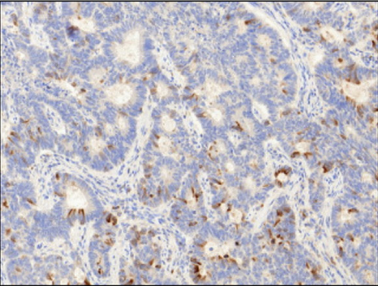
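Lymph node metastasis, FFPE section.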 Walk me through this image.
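The nuclei are blue, oval to elongated and closely packed. Brown stain is present in a portion of the tumor cells, mostly as small patches near the lumina. Fine bands of pale stroma with spindle-shaped nuclei run between the tumor glands and remain unstained.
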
